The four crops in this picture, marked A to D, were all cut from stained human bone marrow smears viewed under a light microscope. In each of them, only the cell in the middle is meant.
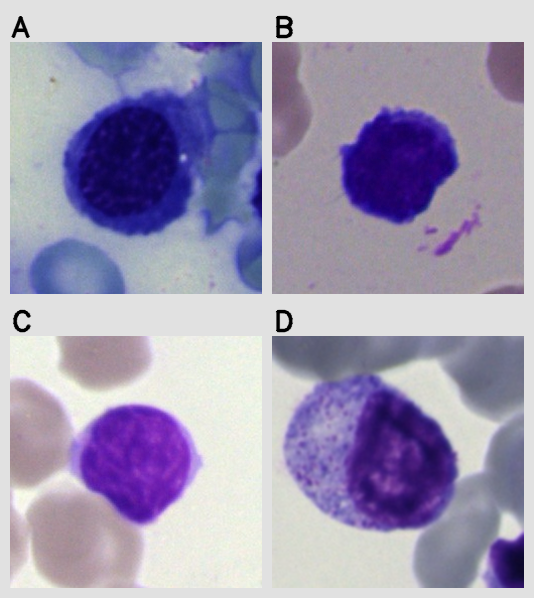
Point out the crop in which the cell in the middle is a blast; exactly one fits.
B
